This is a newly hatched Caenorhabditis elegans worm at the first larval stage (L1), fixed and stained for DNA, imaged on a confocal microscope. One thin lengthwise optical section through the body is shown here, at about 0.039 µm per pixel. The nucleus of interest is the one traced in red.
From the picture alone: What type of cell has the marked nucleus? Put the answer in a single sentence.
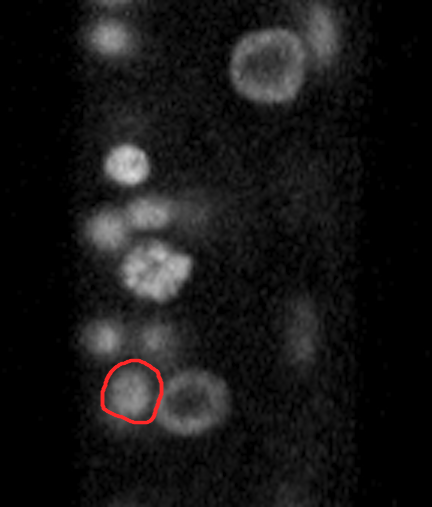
The cell with the marked nucleus is a body wall muscle cell.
